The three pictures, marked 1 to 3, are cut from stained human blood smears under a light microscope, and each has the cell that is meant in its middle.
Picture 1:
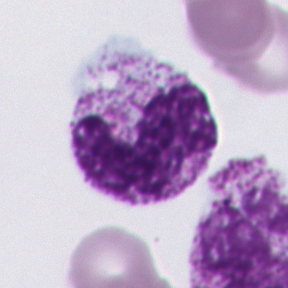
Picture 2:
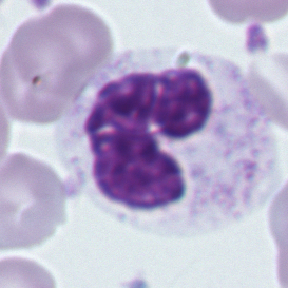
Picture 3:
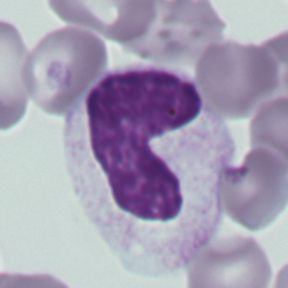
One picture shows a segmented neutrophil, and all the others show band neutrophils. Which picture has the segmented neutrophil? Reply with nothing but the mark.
2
